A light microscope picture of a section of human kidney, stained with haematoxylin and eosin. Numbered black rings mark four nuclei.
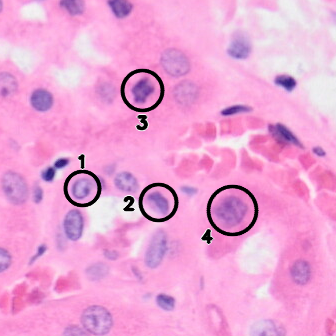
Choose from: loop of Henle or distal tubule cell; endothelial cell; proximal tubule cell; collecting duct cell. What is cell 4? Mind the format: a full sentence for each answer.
Regarding cell 4, this one is a proximal tubule cell.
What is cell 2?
The expected answer is that cell 2 is a collecting duct cell.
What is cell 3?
To a proximal tubule cell belongs the nucleus marked 3.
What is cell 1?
Among the marked cells, number 1 is a collecting duct cell.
